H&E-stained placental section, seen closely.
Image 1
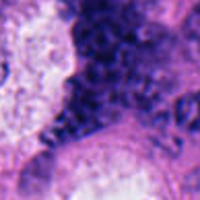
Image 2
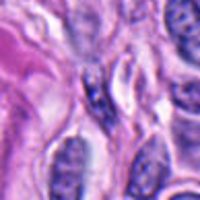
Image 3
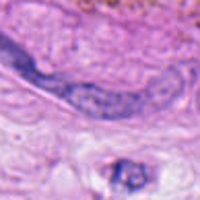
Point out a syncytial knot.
That is picture 1.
